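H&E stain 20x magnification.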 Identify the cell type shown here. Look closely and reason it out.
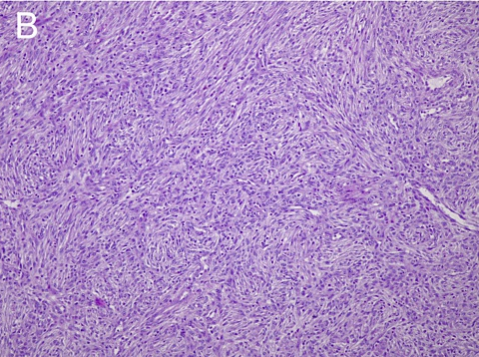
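Spindle cells. Densely packed cells with elongated, tapering nuclei. The cells run in interlacing fascicles and whorls. Pale pink fibrillary cytoplasm lies between the nuclei.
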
